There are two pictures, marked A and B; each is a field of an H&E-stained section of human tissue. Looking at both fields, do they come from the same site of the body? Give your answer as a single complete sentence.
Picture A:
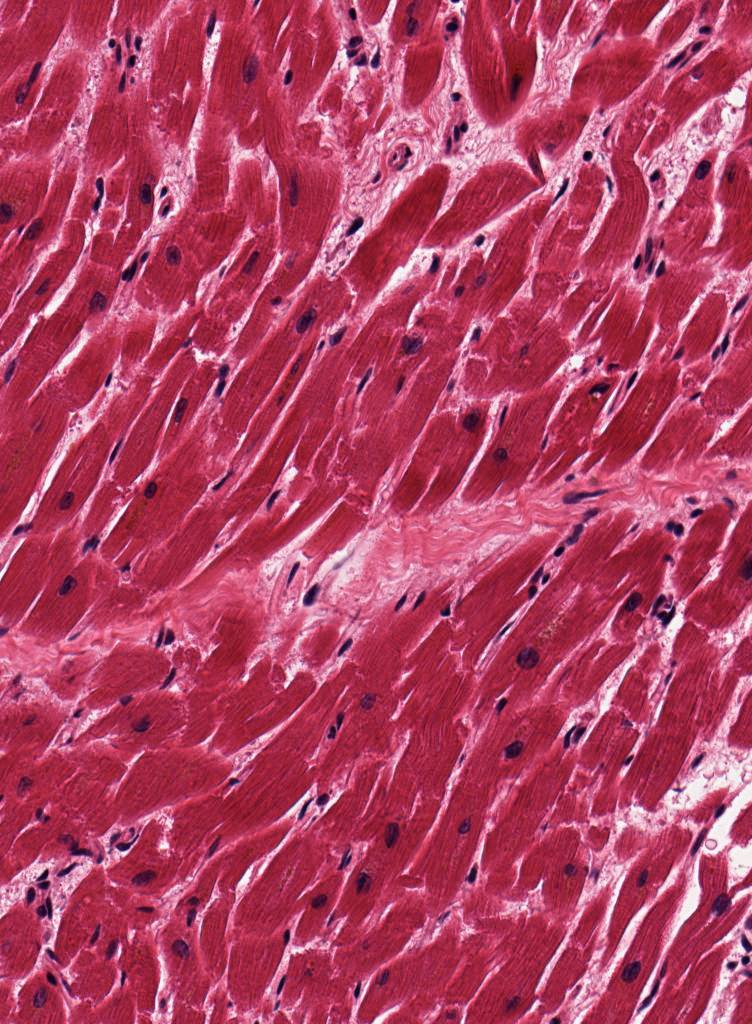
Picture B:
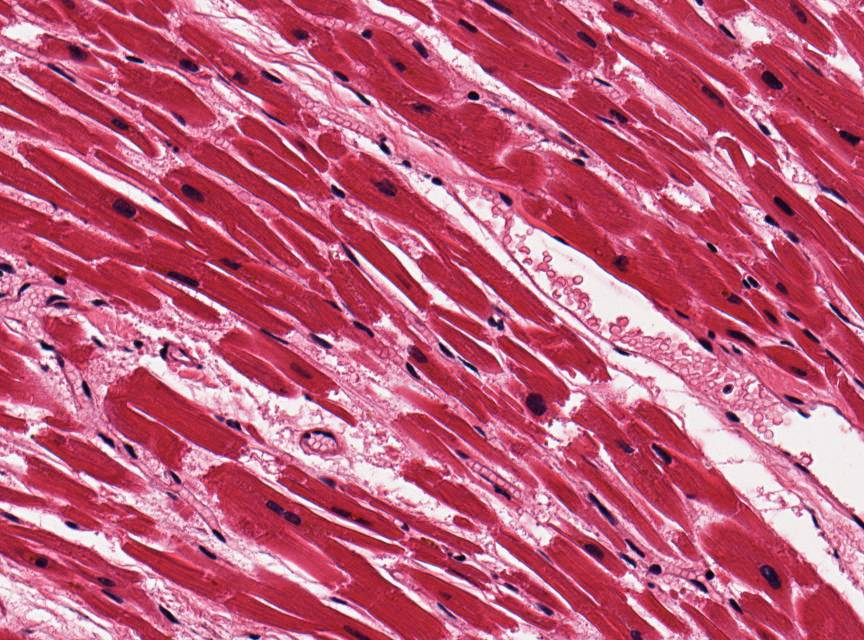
Yes, they come from the same site of the body: both come from the left ventricle of the heart.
